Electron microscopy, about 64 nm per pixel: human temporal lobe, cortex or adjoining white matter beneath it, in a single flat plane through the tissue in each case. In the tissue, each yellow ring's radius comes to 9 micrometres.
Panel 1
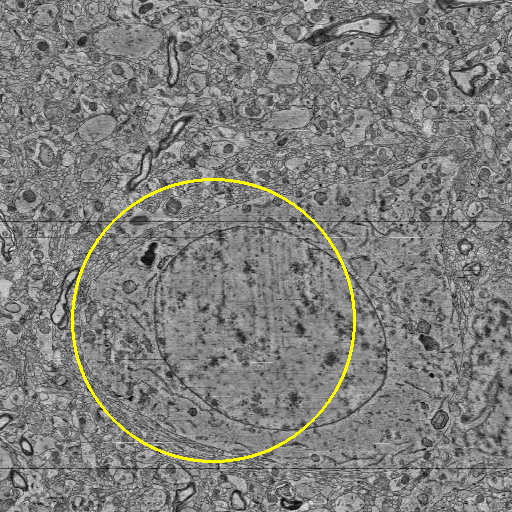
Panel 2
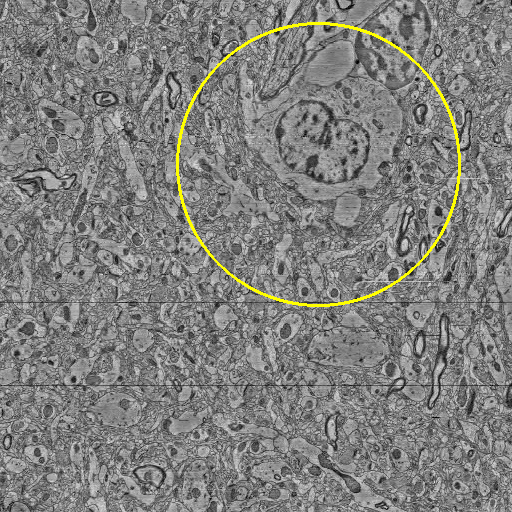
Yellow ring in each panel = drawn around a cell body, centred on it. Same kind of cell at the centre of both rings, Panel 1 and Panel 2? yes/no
no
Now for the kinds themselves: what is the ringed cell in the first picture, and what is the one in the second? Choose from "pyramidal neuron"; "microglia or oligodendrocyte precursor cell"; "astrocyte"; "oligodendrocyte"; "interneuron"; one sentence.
Here the first cell is a pyramidal neuron and the second cell is a microglial cell or oligodendrocyte precursor cell.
